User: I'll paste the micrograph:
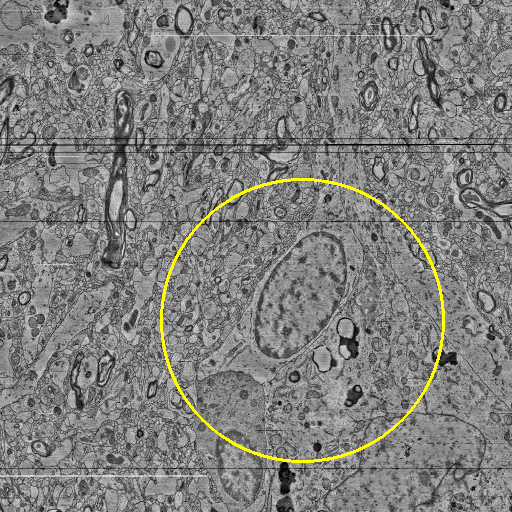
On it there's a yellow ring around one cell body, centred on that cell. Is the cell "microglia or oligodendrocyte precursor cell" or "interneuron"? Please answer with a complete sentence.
The cell ringed in yellow is a microglial cell or oligodendrocyte precursor cell.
